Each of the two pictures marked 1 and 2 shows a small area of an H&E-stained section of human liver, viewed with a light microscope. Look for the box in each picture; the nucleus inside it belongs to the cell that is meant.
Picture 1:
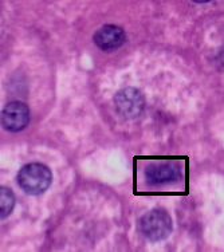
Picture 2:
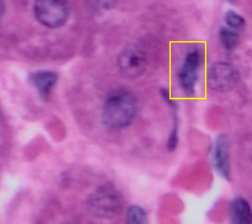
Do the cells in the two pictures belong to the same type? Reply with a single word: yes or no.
yes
